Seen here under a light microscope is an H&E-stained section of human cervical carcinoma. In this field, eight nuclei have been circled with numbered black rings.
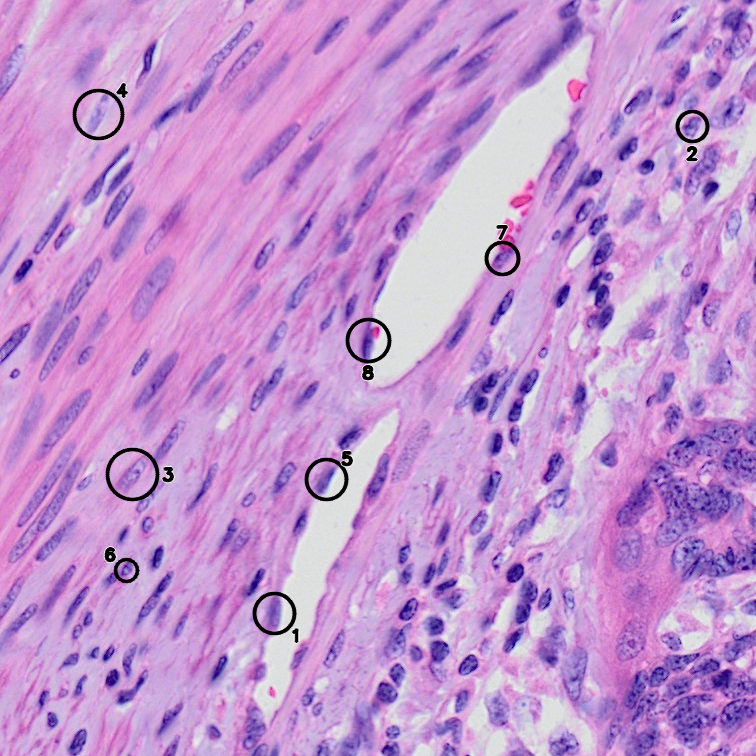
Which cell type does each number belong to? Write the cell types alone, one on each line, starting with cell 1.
endothelial cell
lymphocyte
smooth muscle cell
fibroblast
endothelial cell
smooth muscle cell
endothelial cell
endothelial cell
